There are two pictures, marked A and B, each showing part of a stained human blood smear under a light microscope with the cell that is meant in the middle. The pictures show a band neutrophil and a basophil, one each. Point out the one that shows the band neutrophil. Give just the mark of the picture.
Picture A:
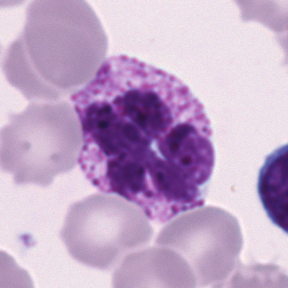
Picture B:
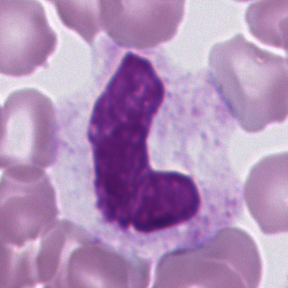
B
